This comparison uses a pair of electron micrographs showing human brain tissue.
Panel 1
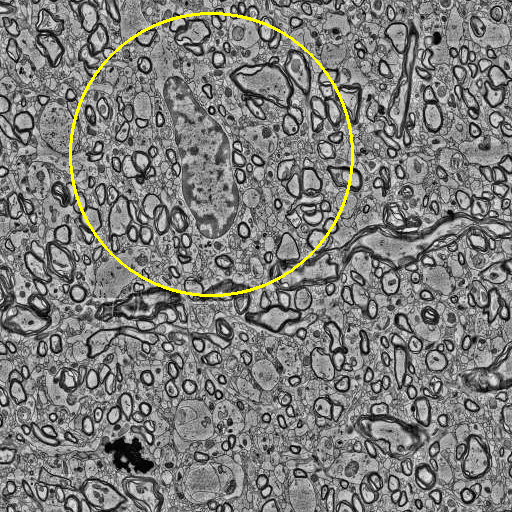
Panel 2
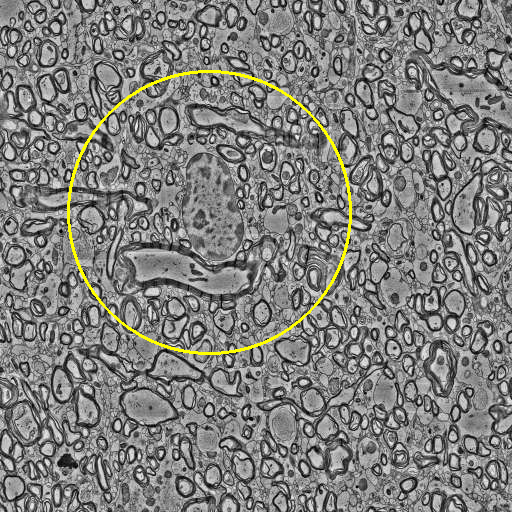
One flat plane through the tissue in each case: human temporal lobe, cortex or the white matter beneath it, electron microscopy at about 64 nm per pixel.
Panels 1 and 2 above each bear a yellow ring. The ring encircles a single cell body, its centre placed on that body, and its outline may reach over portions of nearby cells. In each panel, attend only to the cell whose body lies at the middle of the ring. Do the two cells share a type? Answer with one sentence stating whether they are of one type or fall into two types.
In Panel 1 and Panel 2, the cells at the centres of the rings are of one type.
